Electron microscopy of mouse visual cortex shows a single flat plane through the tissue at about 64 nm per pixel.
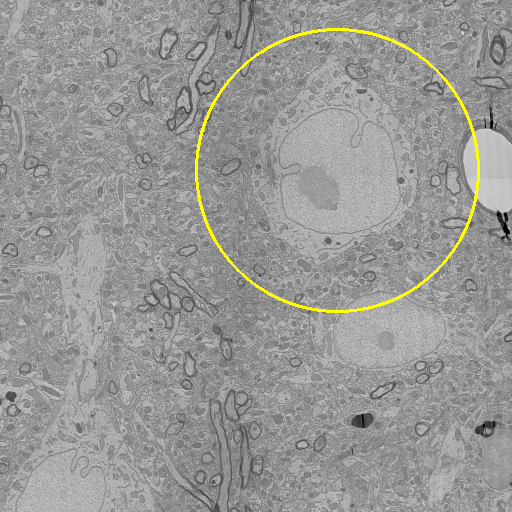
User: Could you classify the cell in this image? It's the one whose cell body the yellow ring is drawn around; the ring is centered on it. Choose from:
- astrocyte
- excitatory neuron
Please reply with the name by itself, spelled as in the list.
excitatory neuron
